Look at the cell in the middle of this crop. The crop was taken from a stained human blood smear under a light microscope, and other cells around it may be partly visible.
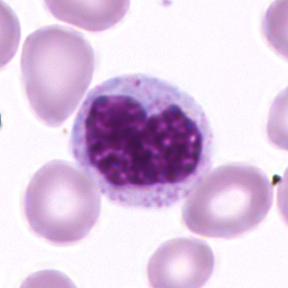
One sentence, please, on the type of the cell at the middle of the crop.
Whatever else lies nearby, the middle cell is a band neutrophil.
